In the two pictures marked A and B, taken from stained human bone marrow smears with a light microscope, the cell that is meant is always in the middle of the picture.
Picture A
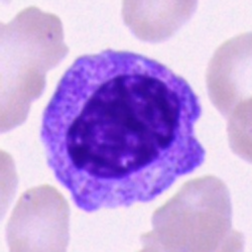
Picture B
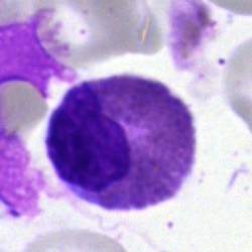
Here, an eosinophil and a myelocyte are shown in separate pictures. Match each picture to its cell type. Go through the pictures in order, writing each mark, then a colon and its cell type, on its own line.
A: myelocyte
B: eosinophil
